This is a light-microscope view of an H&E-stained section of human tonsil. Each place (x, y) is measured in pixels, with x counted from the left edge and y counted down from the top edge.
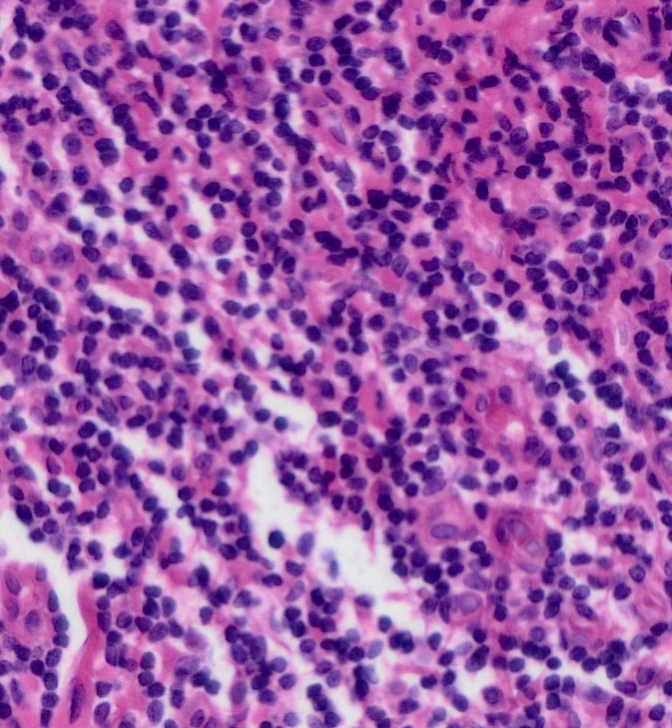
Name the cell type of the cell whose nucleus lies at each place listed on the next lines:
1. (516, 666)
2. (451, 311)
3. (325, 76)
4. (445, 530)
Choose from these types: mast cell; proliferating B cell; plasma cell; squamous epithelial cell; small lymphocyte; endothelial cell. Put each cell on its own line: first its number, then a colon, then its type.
1: small lymphocyte
2: small lymphocyte
3: small lymphocyte
4: endothelial cell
